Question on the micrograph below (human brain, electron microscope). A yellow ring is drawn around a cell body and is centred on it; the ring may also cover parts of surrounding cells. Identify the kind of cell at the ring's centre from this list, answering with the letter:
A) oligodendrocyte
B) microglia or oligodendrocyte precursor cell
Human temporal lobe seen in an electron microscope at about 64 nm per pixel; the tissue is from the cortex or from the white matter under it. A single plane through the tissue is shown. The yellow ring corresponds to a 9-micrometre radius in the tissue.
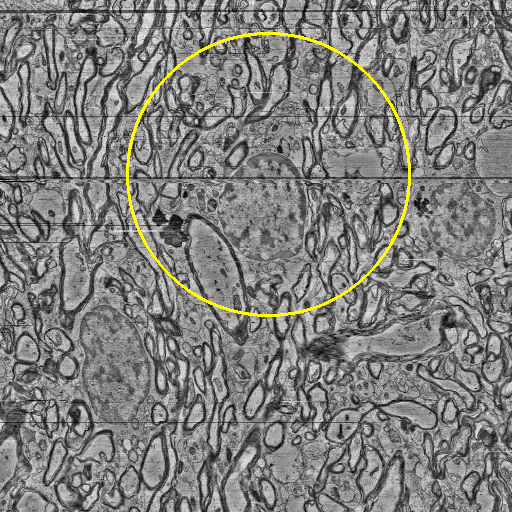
B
